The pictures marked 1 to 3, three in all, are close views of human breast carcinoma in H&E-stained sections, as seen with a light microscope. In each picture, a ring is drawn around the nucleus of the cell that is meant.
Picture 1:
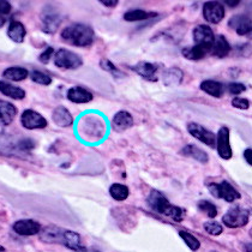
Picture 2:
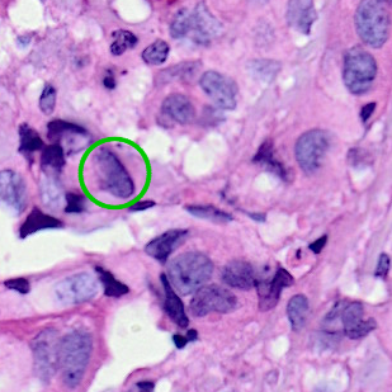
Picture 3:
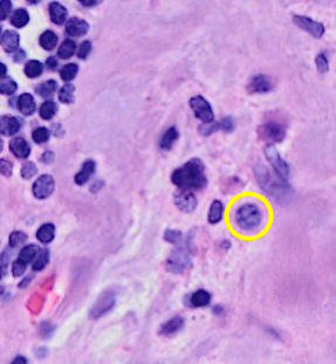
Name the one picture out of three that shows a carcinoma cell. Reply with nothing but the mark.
2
